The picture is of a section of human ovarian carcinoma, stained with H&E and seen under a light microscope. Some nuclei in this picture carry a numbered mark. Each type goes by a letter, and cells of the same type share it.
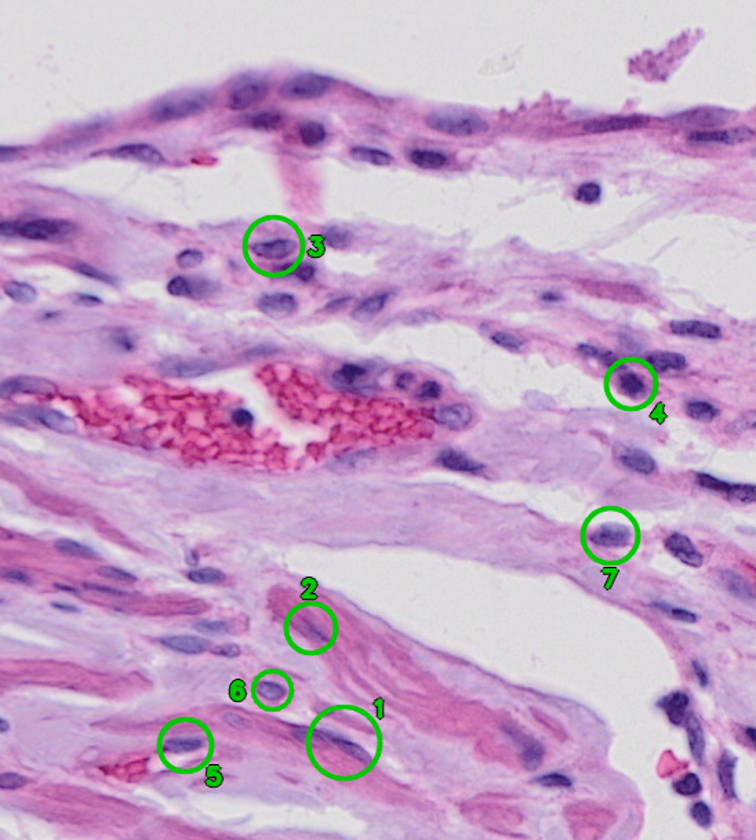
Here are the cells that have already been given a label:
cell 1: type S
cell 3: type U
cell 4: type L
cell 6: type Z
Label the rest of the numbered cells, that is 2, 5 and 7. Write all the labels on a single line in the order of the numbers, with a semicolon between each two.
type S; type Z; type U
